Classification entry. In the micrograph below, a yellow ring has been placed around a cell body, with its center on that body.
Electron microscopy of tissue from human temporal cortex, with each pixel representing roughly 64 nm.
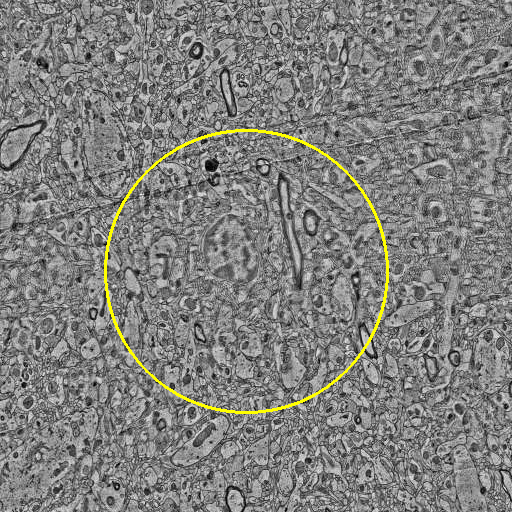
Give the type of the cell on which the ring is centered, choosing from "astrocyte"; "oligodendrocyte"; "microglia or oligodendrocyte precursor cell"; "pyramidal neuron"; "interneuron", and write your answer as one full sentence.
The cell body at the center of the yellow ring belongs to a microglial cell or oligodendrocyte precursor cell.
